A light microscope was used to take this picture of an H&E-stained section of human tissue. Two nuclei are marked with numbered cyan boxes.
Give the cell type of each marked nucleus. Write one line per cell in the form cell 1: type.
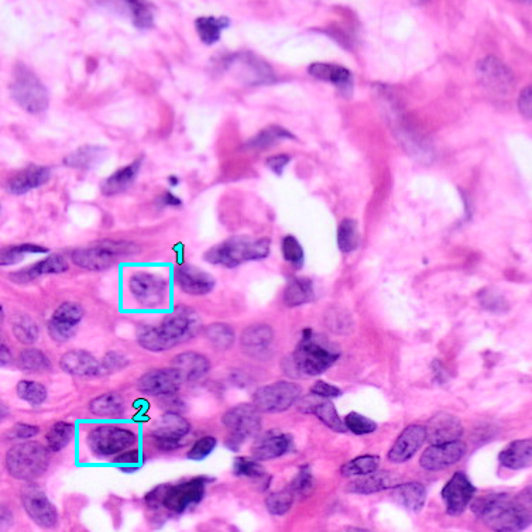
cell 1: macrophage or monocyte
cell 2: carcinoma cell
